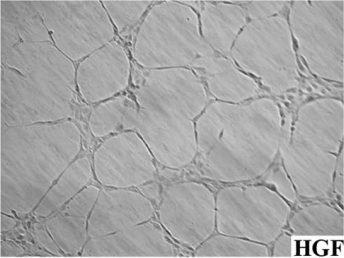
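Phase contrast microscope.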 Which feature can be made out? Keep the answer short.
Capillary-like tube formation.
